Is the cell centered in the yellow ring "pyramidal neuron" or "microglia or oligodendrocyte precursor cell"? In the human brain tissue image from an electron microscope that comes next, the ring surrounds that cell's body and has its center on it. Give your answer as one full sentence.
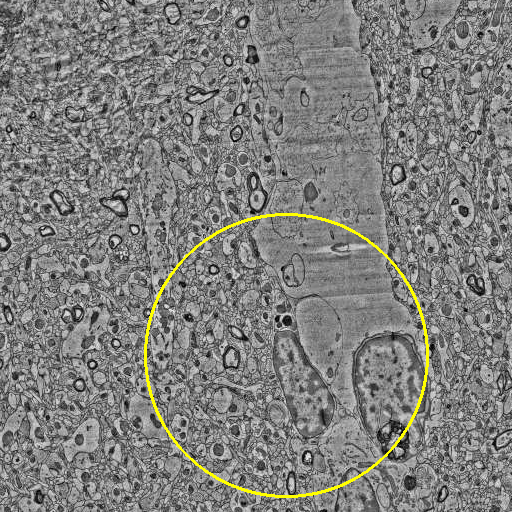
The cell at the center of the yellow ring is a microglial cell or oligodendrocyte precursor cell in the micrograph.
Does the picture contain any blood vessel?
Yes, the image shows a blood vessel.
